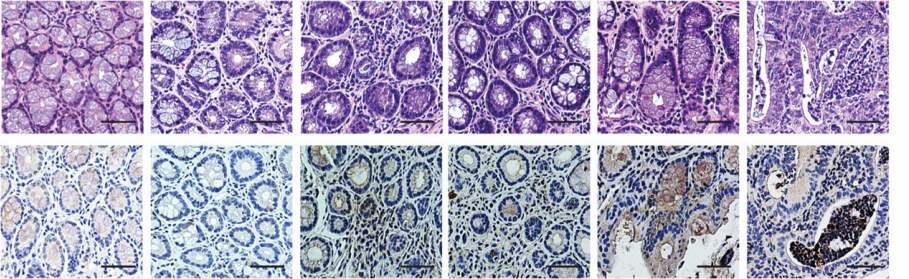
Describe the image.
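In the leftmost pictures the glands are regular and evenly spaced. Thin strands of connective tissue lie between the glands. The last pictures show disordered tissue, with irregular gland spaces set in dense sheets of cells. In the lower row the brown stain is faint or absent on the left and stronger on the right, heaviest in the rightmost picture around an irregular gland space.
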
